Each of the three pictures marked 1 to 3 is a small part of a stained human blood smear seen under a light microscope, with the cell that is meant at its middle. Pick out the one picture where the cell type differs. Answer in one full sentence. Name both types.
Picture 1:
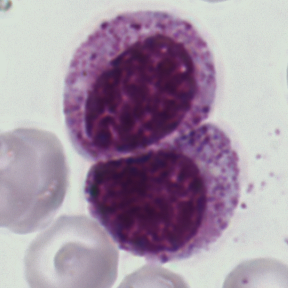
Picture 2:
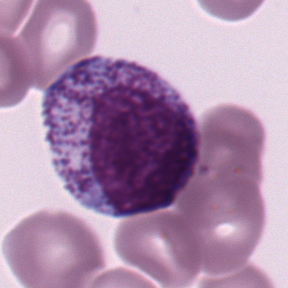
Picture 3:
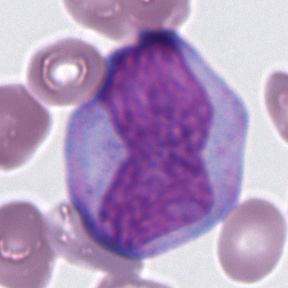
All pictures except 3 show myelocytes; picture 3 shows an atypical promyelocyte.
